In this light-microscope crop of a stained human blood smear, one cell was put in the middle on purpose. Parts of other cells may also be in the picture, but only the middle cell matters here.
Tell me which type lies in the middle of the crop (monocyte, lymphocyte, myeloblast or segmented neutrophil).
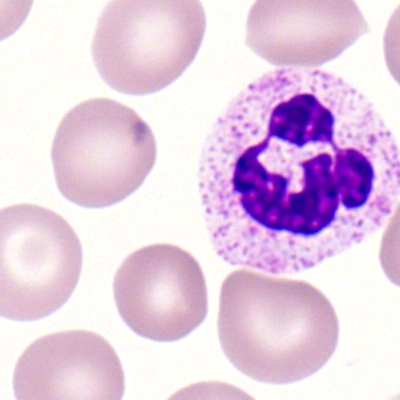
segmented neutrophil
